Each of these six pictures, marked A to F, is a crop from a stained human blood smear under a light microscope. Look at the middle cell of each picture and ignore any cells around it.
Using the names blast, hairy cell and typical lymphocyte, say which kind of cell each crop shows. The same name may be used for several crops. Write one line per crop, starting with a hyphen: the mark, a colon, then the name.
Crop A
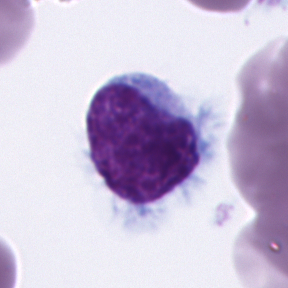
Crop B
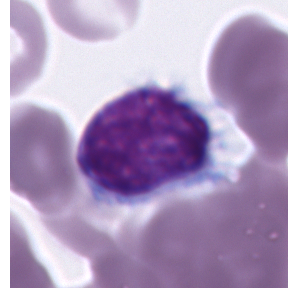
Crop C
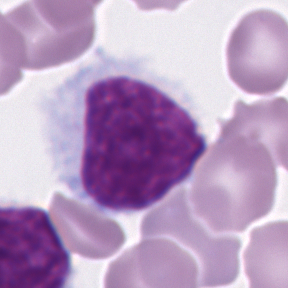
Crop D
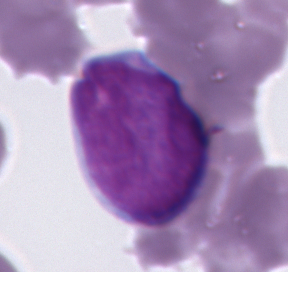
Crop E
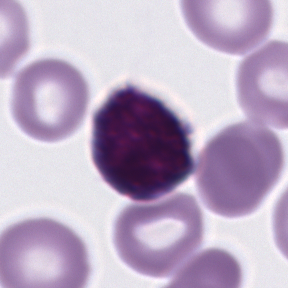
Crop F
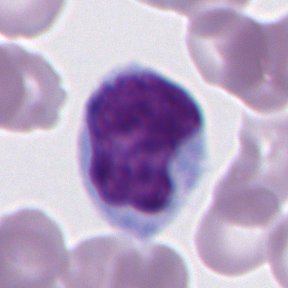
- A: hairy cell
- B: hairy cell
- C: hairy cell
- D: blast
- E: blast
- F: typical lymphocyte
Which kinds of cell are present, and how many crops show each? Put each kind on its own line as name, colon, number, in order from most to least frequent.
hairy cell: 3
blast: 2
typical lymphocyte: 1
